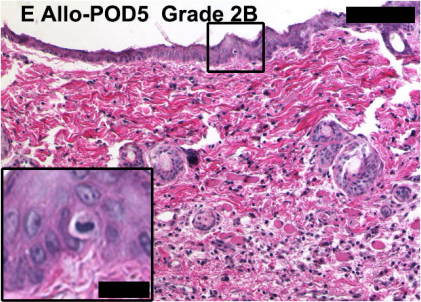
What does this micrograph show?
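Skin with a thin stratified epidermis over a pink fibrous dermis containing several hair follicle profiles. The dermis is crowded with small dark round nuclei of inflammatory cells, densest in its deeper part and extending up to the base of the epidermis. The inset shows keratinocytes with oval nuclei, one of which is surrounded by a clear halo.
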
